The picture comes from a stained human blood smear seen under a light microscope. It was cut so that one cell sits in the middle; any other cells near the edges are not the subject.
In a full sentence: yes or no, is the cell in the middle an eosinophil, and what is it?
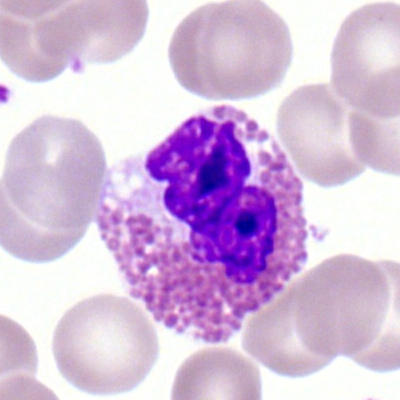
Yes, the cell at the crop's center is an eosinophil.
